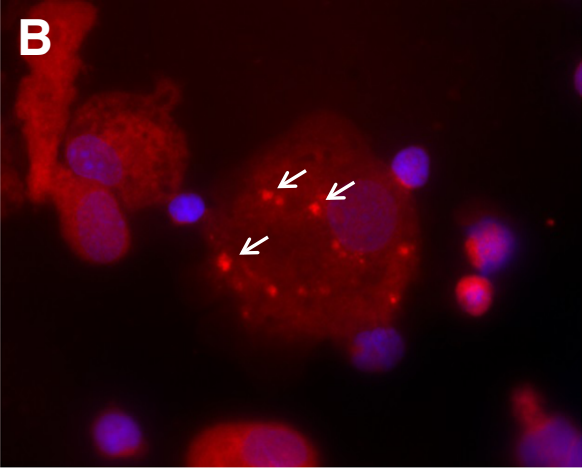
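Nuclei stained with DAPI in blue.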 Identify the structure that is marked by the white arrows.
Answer: puncta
